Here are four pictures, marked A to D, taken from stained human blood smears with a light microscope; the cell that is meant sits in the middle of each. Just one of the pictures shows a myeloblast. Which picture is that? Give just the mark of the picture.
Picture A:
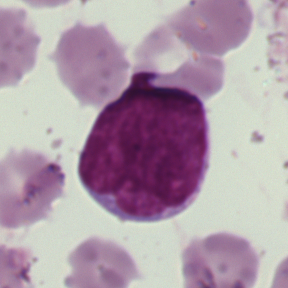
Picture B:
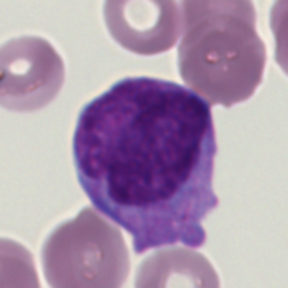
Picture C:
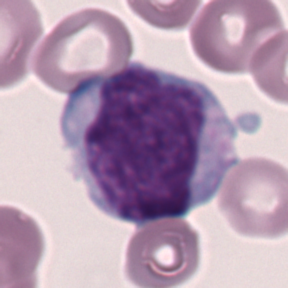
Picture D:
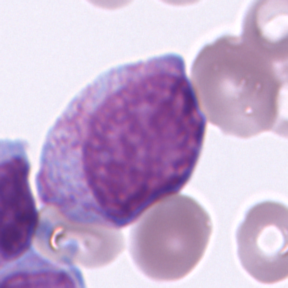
A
